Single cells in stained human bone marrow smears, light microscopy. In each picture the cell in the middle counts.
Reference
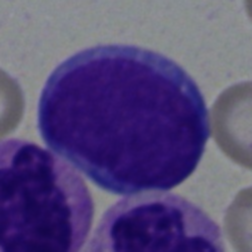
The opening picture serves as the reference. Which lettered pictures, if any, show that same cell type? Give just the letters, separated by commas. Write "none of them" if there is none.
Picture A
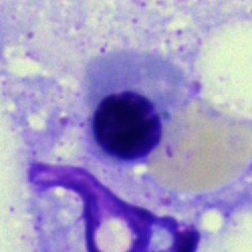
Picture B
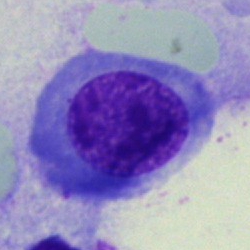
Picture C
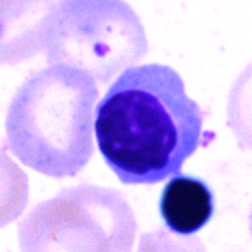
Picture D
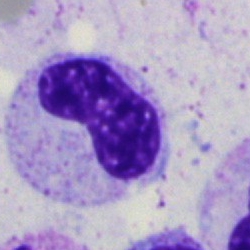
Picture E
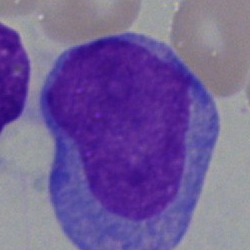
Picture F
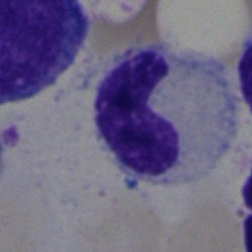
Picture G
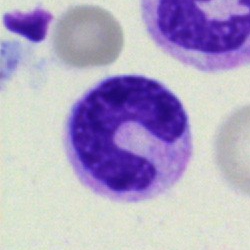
E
